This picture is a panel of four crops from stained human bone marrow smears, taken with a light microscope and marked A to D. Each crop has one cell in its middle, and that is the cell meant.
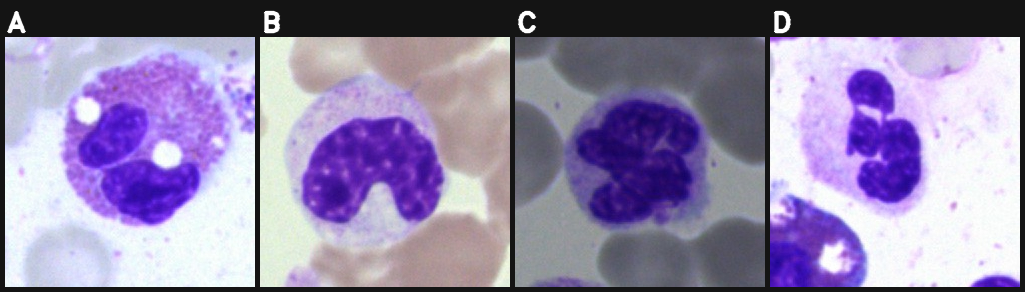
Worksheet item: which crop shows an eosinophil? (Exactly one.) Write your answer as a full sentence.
Crop A is the single crop that shows an eosinophil.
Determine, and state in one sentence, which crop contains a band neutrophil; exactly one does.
The one showing a band neutrophil is crop B.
